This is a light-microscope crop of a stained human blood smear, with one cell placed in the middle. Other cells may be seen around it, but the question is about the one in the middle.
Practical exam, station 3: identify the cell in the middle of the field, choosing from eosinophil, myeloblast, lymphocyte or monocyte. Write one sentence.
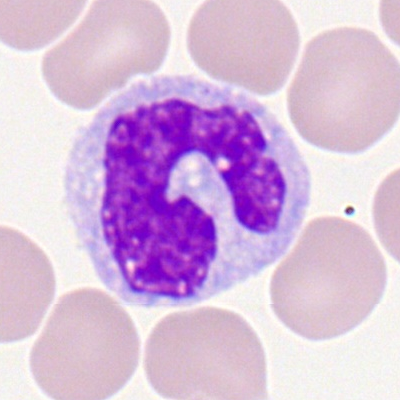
Seen at the centre of the crop is a monocyte.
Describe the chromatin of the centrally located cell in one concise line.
In this nucleus, the chromatin is arranged in coarse clumps.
